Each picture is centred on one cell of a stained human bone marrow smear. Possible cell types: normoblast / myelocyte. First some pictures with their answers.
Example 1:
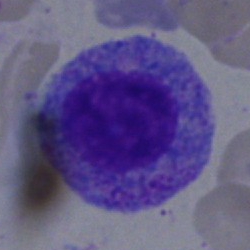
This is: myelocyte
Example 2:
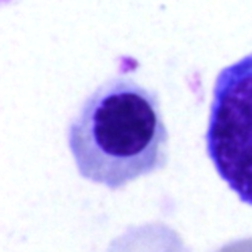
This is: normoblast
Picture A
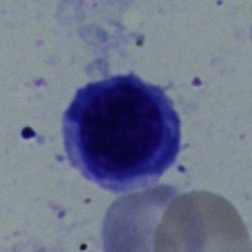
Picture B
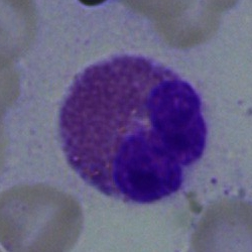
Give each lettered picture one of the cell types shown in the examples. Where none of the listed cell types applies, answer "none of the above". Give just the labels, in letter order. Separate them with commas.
normoblast, none of the above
